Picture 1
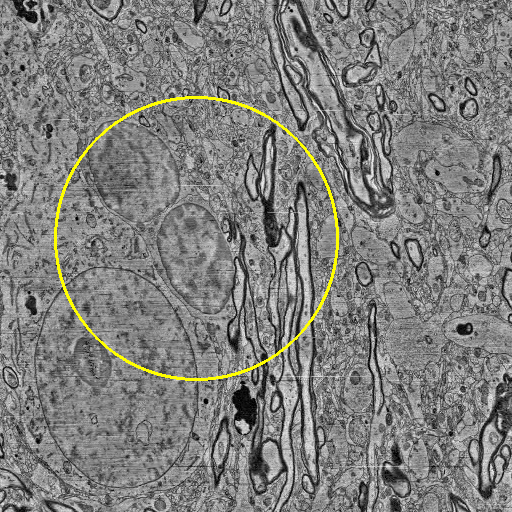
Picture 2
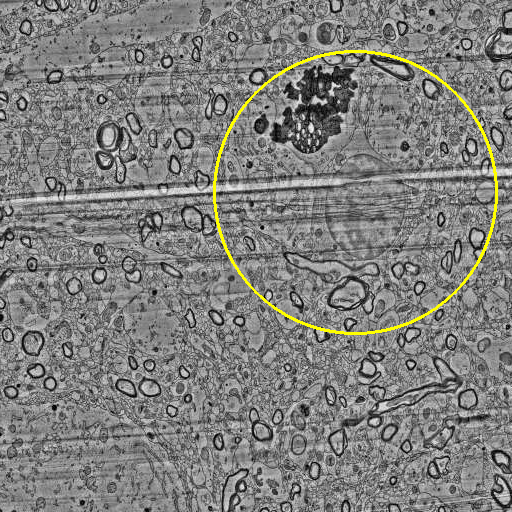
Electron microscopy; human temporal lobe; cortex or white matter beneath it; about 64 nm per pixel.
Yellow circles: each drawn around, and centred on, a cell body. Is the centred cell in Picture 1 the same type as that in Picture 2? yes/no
yes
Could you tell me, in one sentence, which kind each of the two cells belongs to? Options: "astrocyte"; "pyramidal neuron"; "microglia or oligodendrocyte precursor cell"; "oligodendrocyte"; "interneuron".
Each one of the two ringed cells is an oligodendrocyte.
